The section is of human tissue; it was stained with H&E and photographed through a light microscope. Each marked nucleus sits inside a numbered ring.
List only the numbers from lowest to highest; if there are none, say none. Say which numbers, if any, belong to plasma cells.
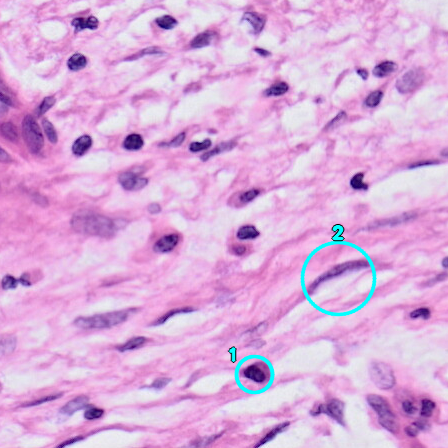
1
